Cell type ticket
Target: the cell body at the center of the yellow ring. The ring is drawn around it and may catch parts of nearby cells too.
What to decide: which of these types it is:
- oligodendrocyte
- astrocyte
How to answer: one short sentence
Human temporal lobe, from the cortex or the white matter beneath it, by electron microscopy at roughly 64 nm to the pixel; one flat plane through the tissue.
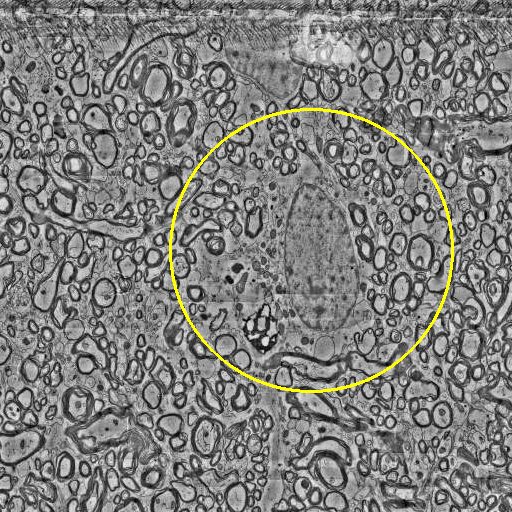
The cell at the center of the ring is an astrocyte.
